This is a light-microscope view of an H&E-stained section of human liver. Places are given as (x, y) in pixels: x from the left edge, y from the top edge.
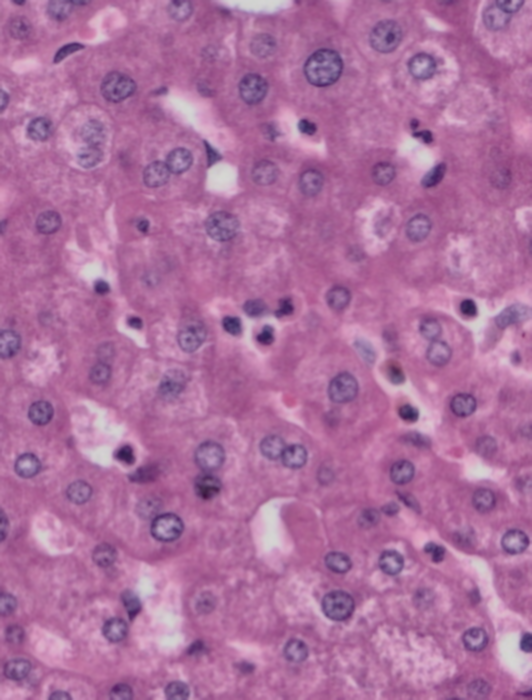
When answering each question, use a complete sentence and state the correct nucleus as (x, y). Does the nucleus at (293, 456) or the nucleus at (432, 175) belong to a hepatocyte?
It is the nucleus at (293, 456) that belongs to a hepatocyte.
